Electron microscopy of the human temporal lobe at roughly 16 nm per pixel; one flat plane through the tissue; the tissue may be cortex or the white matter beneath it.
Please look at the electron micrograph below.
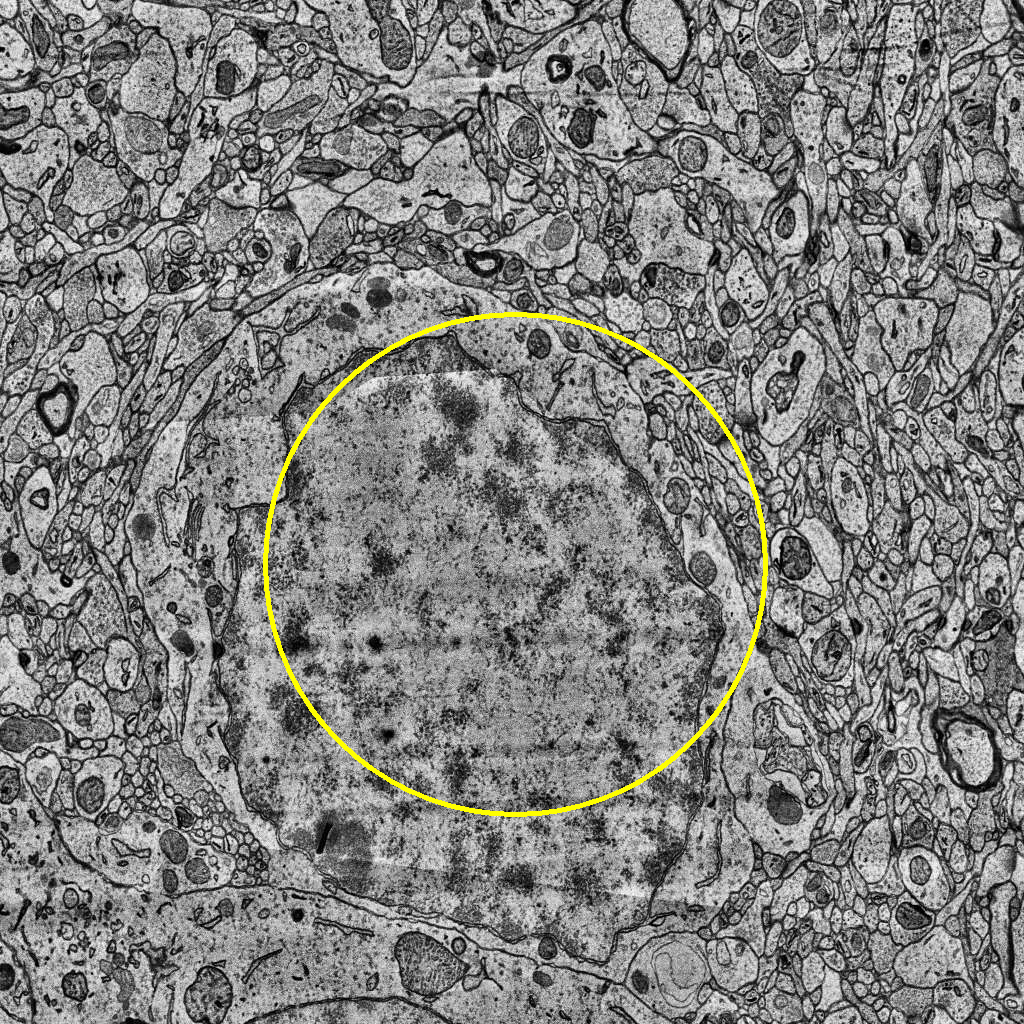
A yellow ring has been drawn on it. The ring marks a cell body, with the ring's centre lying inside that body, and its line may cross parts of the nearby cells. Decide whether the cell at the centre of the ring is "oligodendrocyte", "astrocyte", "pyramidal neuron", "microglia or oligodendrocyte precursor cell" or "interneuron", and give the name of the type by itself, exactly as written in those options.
interneuron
